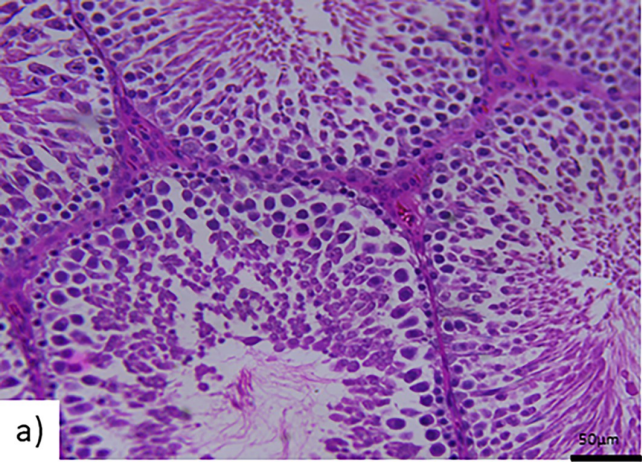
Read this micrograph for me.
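This is testicular tissue in which tubules are filled with layered spermatogenic cells, their purple round nuclei crowded from the outer wall toward the center. The smallest cells sit along the thin basal wall, with larger round-nucleated spermatocytes above them and elongated heads and pale pink tails gathering toward the lumens. Between the tubules runs narrow pink interstitial tissue, where a small blood vessel with red blood cells can be seen at the junction of several tubules.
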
